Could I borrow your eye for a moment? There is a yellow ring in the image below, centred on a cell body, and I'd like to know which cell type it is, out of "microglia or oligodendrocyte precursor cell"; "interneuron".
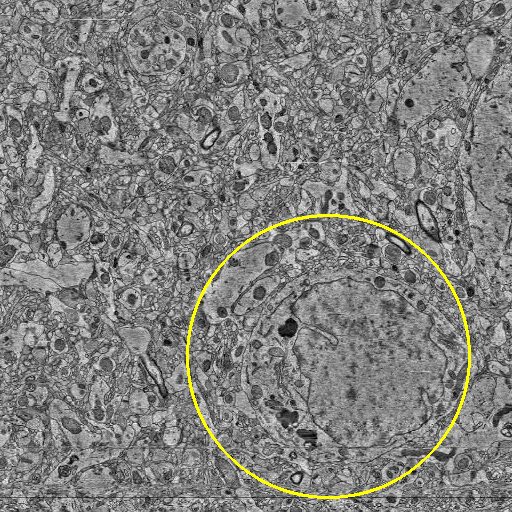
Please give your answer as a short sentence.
The cell body at the centre is that of an interneuron.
